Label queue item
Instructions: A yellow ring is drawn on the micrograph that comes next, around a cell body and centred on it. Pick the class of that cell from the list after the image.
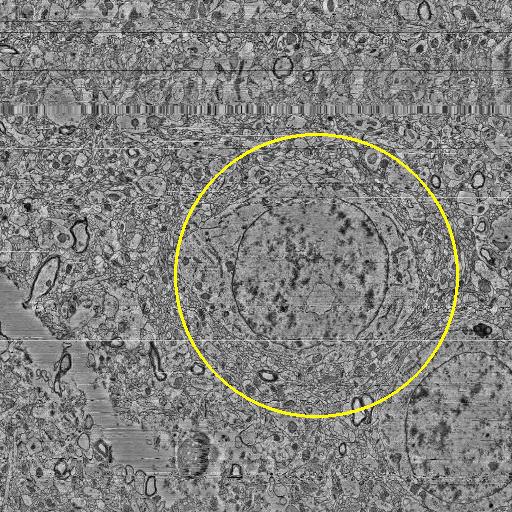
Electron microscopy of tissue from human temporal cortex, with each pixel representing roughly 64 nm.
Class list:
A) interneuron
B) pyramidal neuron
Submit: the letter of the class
B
